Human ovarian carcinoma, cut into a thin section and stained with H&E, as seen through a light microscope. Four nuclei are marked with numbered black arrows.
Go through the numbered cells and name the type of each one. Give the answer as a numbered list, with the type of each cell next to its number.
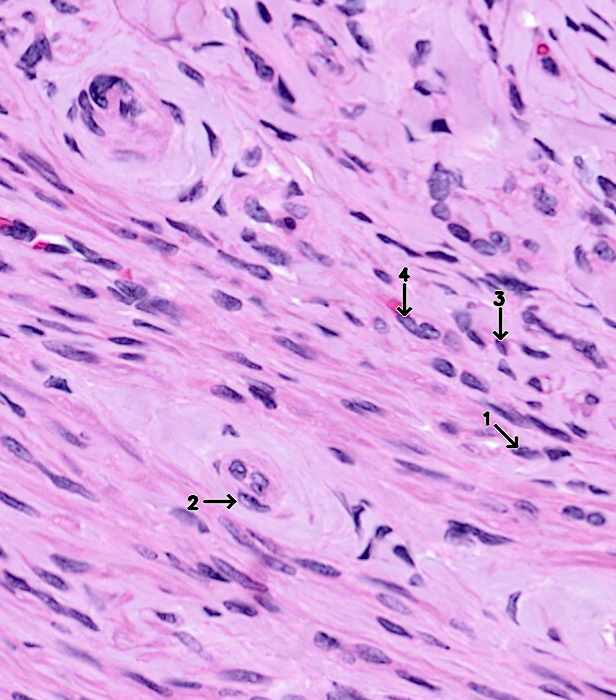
1. smooth muscle cell
2. smooth muscle cell
3. smooth muscle cell
4. endothelial cell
